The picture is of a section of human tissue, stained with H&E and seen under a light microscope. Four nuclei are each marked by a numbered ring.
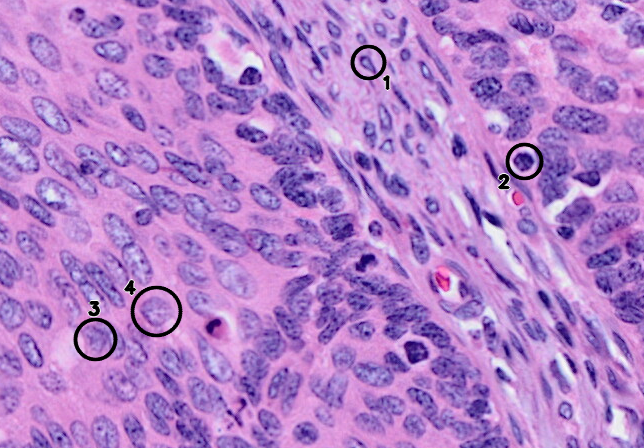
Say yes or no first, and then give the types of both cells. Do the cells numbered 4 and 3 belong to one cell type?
Yes, with respect to identity, cells 4 and 3 are both squamous carcinoma cells.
